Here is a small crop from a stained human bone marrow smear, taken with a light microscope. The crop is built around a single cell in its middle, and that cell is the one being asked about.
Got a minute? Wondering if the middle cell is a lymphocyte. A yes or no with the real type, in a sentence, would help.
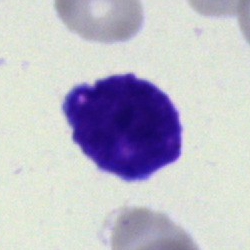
No, the central cell is classed as a blast, not a lymphocyte.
